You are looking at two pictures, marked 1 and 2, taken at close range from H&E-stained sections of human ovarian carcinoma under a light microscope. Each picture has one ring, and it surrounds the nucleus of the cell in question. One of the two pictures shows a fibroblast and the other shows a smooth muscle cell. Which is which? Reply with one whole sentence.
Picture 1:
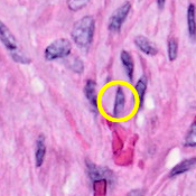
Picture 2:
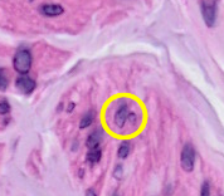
Picture 1 shows a fibroblast and picture 2 shows a smooth muscle cell.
